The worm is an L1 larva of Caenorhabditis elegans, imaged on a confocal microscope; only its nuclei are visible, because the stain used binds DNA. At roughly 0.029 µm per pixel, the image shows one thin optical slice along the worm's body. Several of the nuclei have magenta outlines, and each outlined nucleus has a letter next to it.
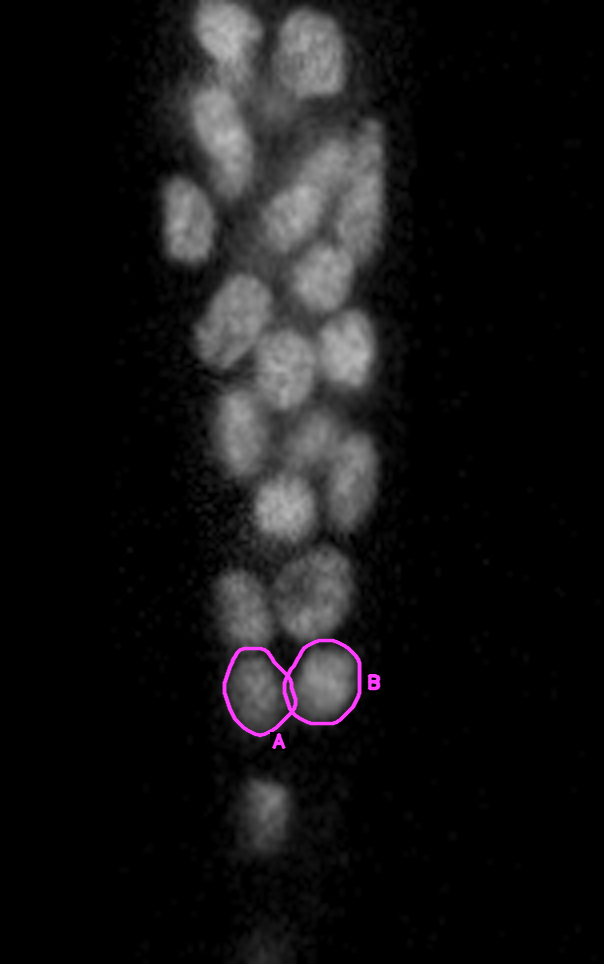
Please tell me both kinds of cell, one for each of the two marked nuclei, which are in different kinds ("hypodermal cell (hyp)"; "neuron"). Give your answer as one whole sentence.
A belongs to a hypodermal cell (hyp) and B to a neuron.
